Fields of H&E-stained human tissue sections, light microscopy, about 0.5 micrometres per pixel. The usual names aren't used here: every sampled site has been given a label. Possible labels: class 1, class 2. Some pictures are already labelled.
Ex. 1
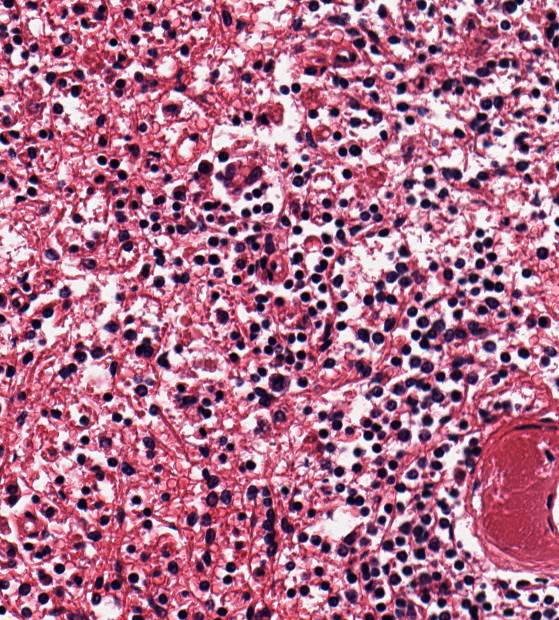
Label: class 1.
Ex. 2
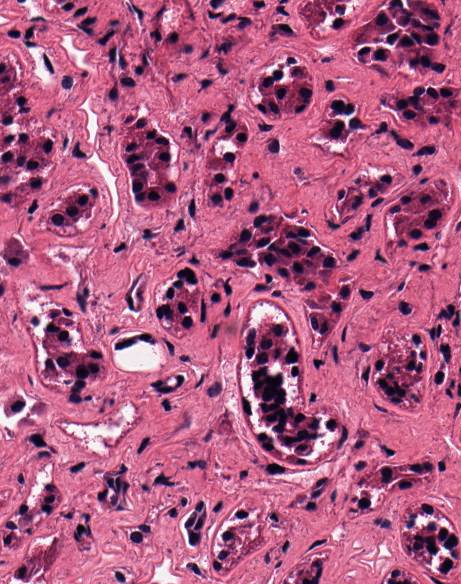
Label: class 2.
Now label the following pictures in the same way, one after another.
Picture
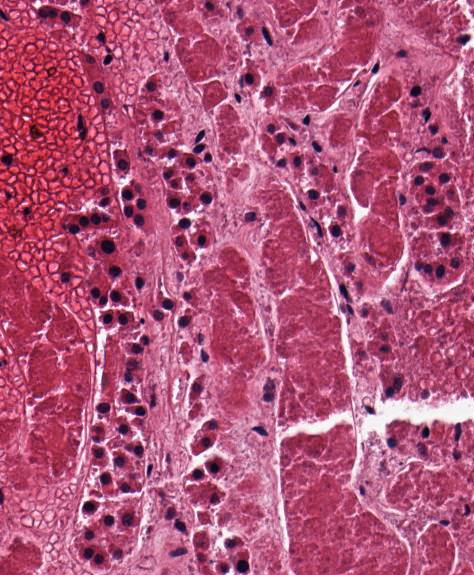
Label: class 2.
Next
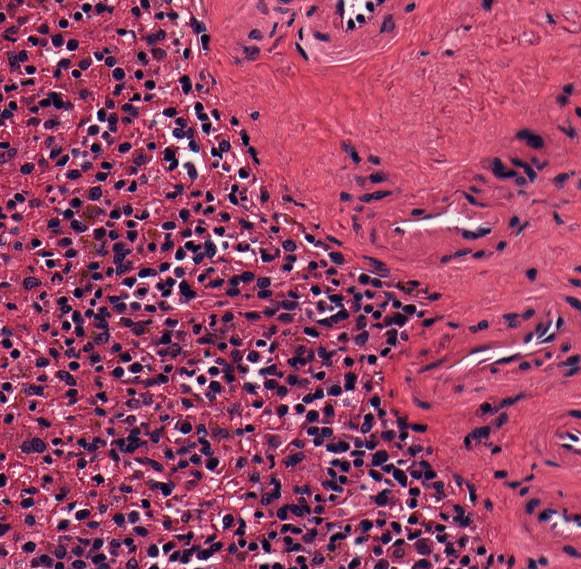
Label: class 1.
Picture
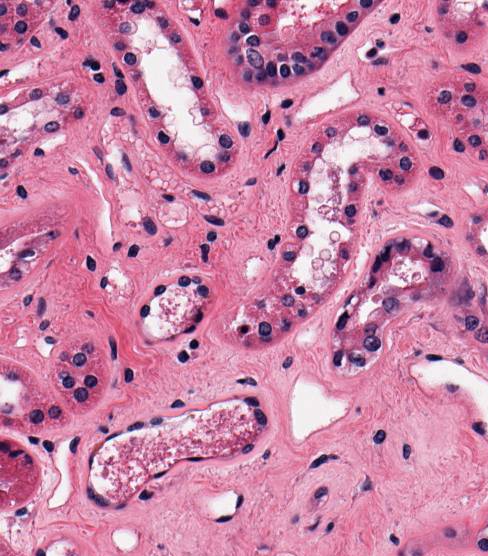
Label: class 2.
